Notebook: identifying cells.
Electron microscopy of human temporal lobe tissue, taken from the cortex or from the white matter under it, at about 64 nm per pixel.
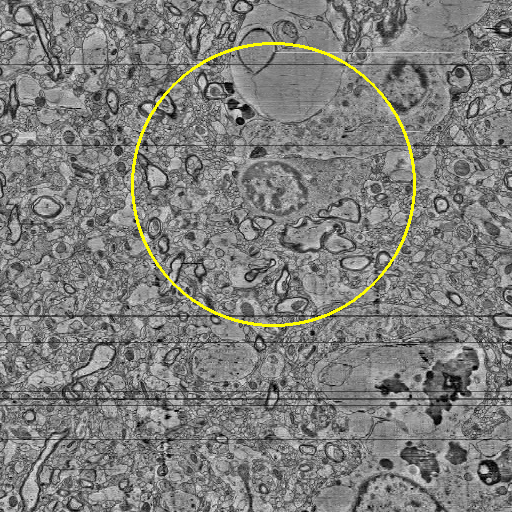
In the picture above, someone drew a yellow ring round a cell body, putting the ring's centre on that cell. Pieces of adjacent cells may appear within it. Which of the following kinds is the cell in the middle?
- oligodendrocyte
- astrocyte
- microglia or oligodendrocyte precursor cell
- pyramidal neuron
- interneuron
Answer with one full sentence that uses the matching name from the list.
In this picture, the yellow ring is centred on the body of an oligodendrocyte.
